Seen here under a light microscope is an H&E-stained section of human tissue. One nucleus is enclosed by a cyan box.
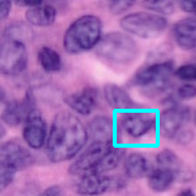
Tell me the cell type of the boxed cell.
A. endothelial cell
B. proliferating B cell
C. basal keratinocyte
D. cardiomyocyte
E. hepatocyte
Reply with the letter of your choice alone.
B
